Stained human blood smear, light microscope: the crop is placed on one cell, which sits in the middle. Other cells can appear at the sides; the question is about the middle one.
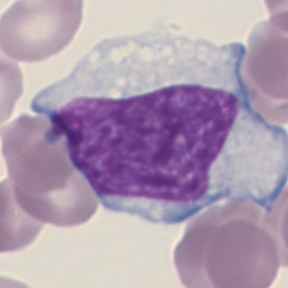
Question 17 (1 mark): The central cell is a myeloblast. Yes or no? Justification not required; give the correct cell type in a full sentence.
Yes, in the centre of this field sits a myeloblast.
